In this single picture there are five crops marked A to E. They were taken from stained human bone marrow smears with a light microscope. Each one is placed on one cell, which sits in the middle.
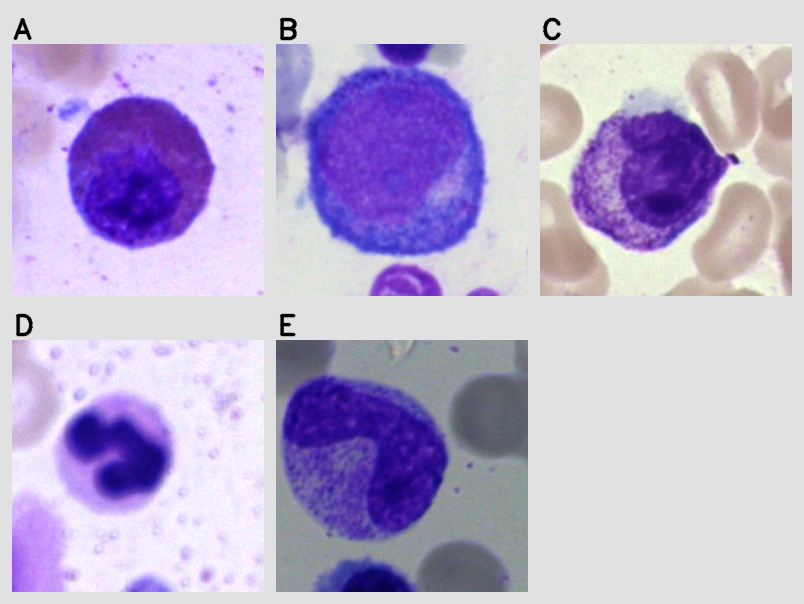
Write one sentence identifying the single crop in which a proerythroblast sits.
The one that shows a proerythroblast is crop B.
